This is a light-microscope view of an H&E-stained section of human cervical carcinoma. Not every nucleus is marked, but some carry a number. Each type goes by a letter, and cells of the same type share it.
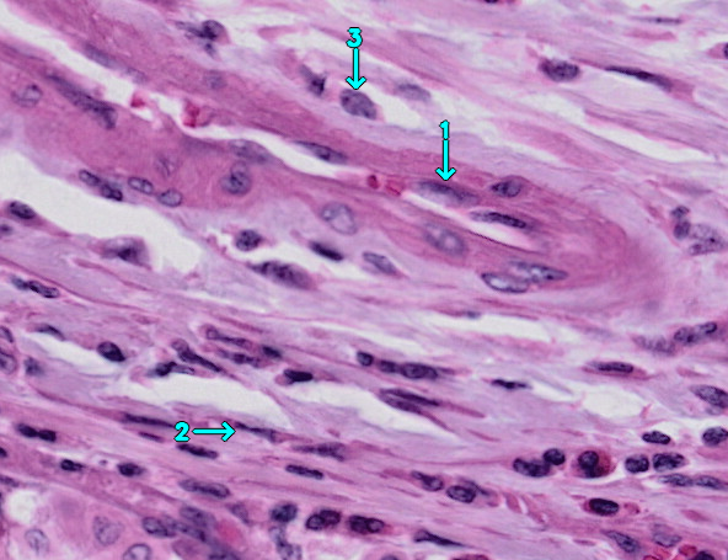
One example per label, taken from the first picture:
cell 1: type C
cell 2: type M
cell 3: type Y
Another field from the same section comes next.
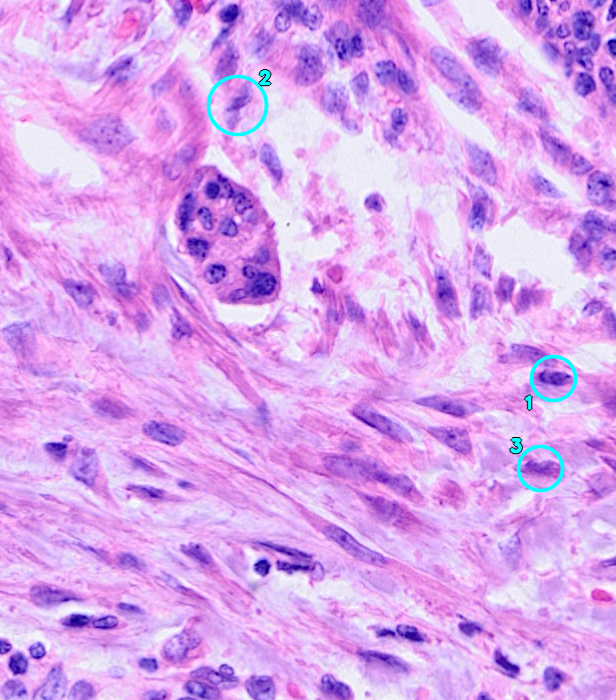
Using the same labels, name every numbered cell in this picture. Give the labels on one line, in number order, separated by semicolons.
type Y; type M; type M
